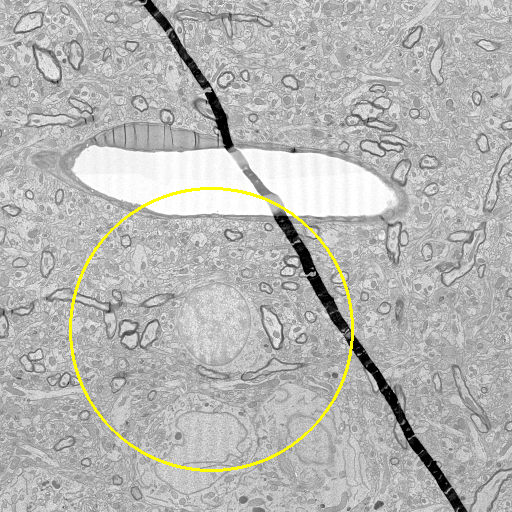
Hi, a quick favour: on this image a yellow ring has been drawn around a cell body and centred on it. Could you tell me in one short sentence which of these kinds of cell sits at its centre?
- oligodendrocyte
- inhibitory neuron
The ring is centred on an oligodendrocyte.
